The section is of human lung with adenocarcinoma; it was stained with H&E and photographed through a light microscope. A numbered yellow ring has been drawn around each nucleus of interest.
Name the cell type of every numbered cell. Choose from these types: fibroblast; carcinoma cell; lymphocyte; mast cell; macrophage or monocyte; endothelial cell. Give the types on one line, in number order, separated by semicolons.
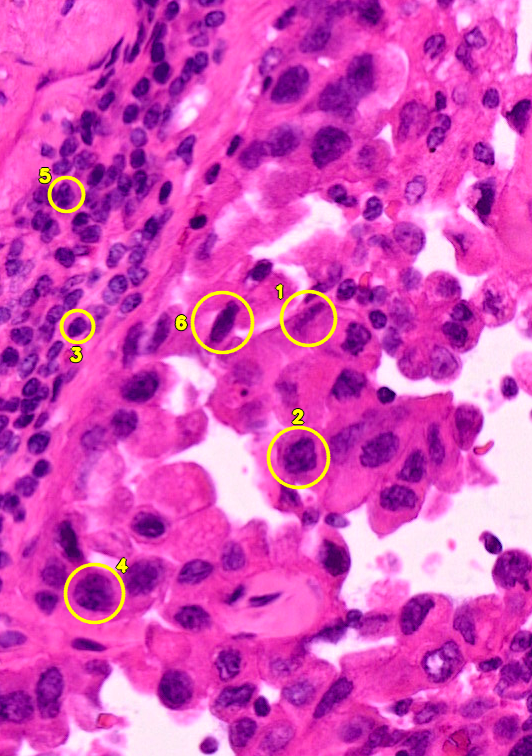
carcinoma cell; carcinoma cell; lymphocyte; carcinoma cell; lymphocyte; carcinoma cell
